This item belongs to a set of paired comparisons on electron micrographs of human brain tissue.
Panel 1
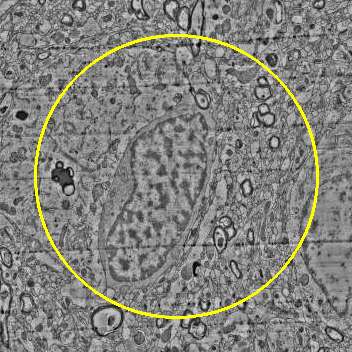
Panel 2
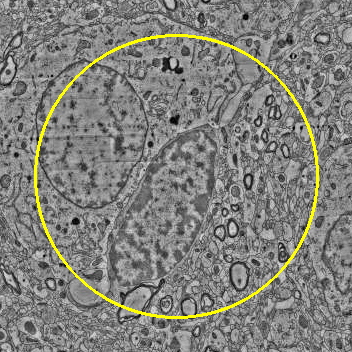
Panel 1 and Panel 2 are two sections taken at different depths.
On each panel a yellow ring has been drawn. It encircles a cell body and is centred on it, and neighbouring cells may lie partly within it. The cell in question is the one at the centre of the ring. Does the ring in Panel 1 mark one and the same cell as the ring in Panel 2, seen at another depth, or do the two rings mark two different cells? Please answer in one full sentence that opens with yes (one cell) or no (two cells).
Yes, what the two rings mark is one cell.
